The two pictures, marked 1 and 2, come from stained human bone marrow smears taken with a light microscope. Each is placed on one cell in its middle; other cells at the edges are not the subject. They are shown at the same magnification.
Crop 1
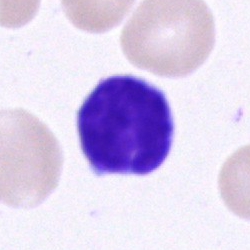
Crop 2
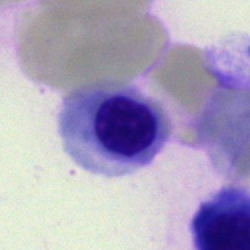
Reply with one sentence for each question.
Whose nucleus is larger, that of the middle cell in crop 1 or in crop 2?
Crop 1 shows the larger nucleus; it covers about 2.5 times the area of the nucleus in crop 2.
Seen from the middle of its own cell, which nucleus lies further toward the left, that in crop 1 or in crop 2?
In crop 1 the nucleus is shifted more toward the left.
